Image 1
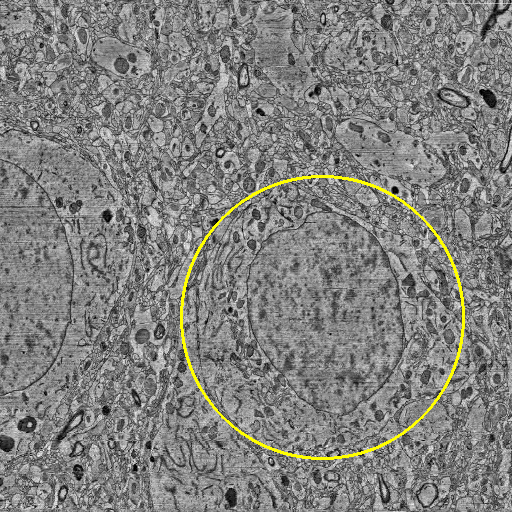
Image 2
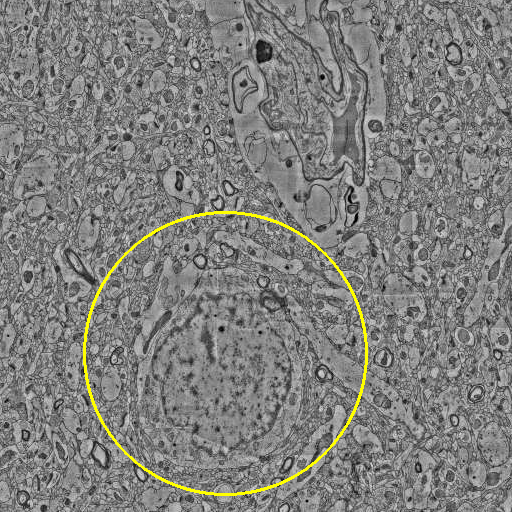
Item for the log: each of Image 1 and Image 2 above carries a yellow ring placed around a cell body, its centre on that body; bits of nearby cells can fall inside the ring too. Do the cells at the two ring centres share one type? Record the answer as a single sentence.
Yes, the two cells at the ring centres in Image 1 and Image 2 share one type.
